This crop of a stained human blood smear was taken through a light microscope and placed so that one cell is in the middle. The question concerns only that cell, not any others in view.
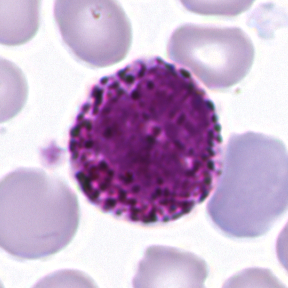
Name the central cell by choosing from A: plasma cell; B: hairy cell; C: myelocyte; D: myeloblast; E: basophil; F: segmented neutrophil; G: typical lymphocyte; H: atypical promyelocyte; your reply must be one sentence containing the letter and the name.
The correct option, E, names the middle cell as a basophil.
